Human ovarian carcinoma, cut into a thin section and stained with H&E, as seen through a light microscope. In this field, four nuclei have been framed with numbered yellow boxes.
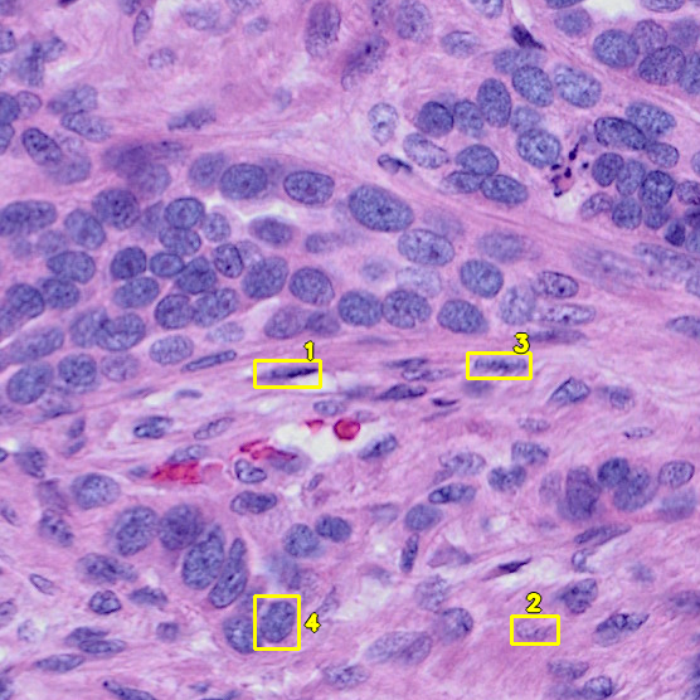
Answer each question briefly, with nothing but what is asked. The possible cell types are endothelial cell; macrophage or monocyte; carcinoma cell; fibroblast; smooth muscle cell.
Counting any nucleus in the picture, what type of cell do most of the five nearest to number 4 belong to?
carcinoma cell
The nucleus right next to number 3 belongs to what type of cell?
fibroblast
